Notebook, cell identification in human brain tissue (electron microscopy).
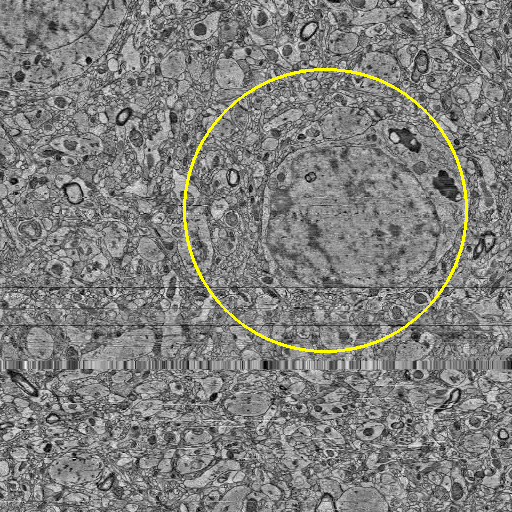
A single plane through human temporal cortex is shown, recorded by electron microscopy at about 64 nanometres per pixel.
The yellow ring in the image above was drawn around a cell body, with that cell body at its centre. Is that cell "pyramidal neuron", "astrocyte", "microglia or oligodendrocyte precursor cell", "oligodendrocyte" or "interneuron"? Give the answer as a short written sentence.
The cell in the ring is an interneuron.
